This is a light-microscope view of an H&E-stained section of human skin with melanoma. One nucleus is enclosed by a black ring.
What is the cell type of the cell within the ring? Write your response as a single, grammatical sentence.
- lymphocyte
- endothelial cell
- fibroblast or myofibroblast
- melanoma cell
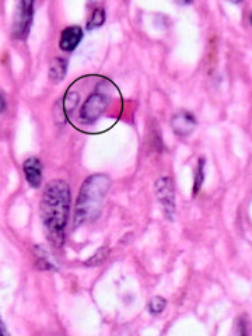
Students should answer that the cell within the ring is an endothelial cell.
